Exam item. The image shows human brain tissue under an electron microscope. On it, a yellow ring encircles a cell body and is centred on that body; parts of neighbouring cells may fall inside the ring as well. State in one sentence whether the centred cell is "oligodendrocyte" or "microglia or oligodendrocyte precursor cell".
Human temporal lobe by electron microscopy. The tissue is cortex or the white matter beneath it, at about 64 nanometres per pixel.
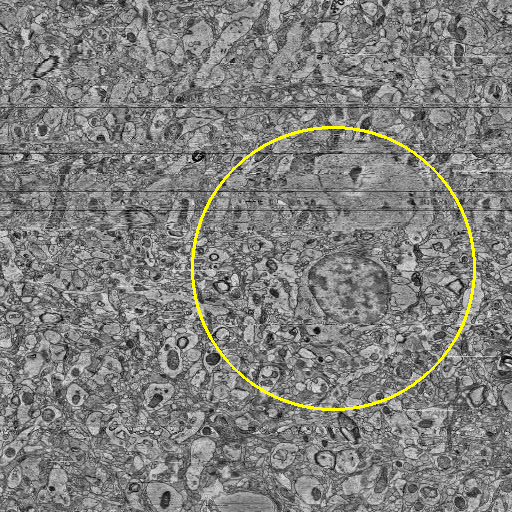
The cell body centred in the ring is an oligodendrocyte.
